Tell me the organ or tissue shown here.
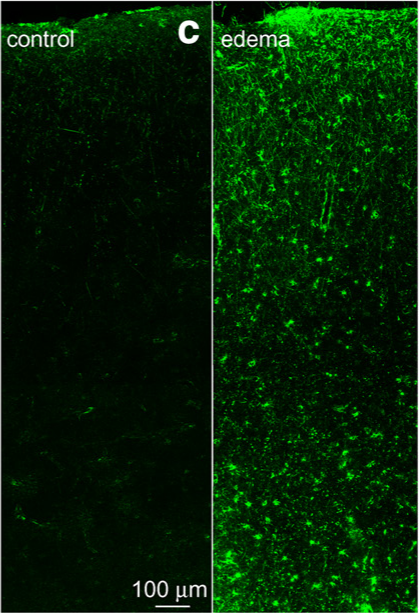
Gray matter.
